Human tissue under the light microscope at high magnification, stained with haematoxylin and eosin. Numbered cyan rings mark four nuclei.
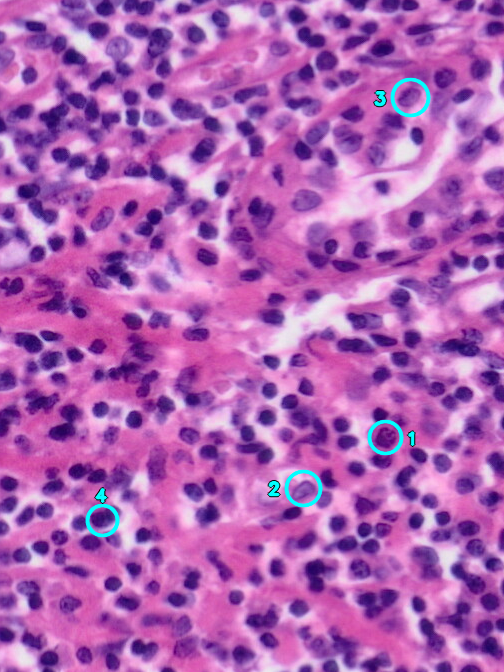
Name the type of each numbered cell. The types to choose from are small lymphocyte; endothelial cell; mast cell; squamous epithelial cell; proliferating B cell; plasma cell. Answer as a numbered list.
1. plasma cell
2. endothelial cell
3. squamous epithelial cell
4. plasma cell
